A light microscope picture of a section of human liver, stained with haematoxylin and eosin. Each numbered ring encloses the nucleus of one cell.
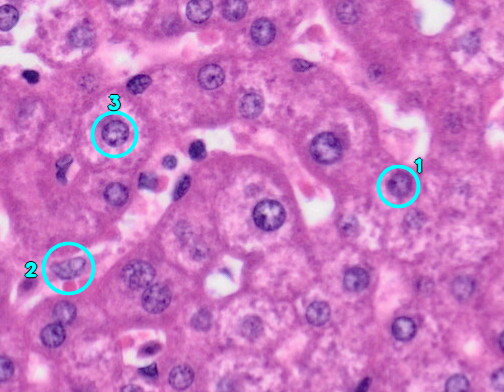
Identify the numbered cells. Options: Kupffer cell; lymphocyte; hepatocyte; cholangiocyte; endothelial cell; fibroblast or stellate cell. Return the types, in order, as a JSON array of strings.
["hepatocyte", "Kupffer cell", "hepatocyte"]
